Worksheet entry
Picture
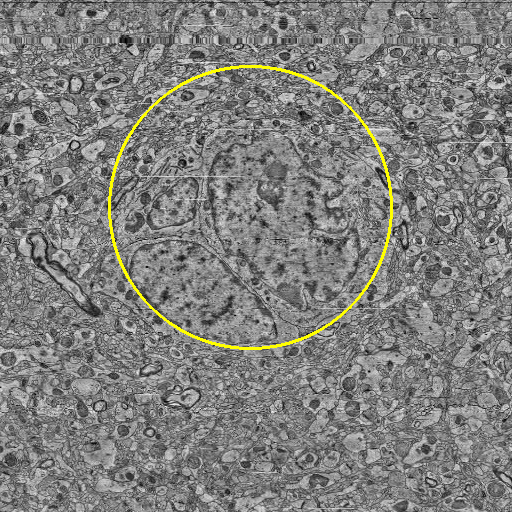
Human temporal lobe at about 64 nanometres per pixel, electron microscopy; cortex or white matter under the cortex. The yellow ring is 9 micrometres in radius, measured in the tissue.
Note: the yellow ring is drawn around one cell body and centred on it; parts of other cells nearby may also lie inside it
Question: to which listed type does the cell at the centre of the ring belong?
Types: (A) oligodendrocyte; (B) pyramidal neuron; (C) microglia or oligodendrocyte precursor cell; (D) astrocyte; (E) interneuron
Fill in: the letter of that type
E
